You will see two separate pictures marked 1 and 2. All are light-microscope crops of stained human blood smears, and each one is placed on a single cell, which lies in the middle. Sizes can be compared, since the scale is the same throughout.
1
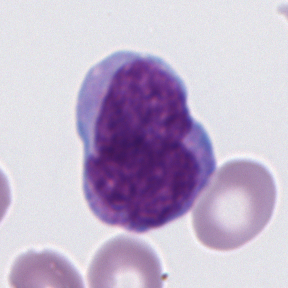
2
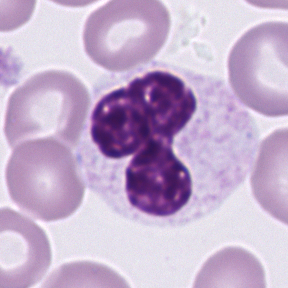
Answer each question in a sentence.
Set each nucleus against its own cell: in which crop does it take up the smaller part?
It is the cell in picture 2 that is filled less by its nucleus.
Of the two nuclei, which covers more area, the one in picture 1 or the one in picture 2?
It is the nucleus in picture 1, about 1.5 times as large in area as the one in picture 2.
